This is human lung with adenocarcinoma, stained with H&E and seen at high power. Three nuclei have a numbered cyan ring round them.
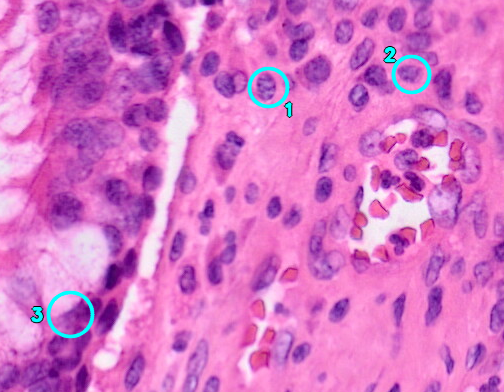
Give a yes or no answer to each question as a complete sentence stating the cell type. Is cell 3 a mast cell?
No, the cell under number 3 is a ciliated epithelial cell, not a mast cell.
